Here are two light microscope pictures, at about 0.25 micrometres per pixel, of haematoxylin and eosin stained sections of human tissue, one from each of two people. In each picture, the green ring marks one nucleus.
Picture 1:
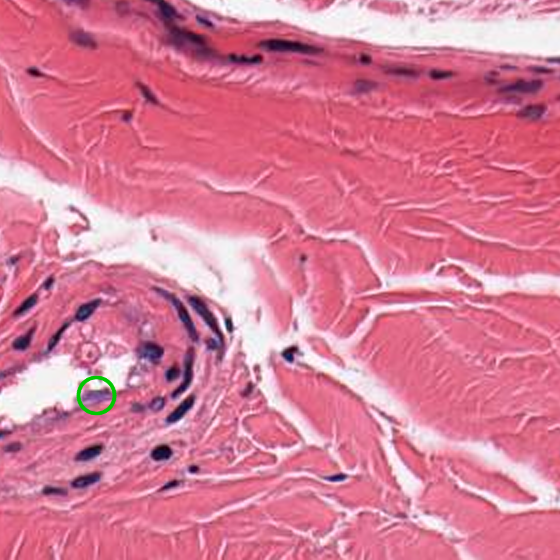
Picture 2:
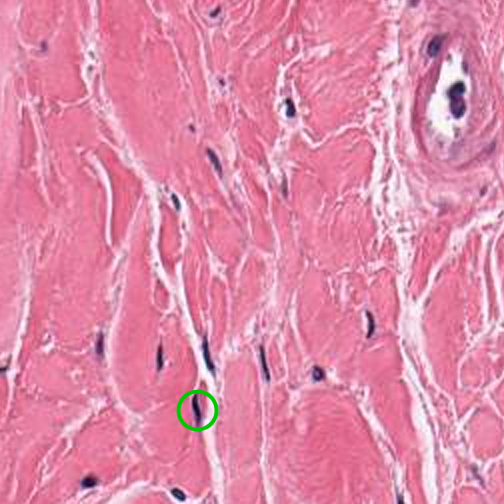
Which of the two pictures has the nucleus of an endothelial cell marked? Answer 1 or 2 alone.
1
